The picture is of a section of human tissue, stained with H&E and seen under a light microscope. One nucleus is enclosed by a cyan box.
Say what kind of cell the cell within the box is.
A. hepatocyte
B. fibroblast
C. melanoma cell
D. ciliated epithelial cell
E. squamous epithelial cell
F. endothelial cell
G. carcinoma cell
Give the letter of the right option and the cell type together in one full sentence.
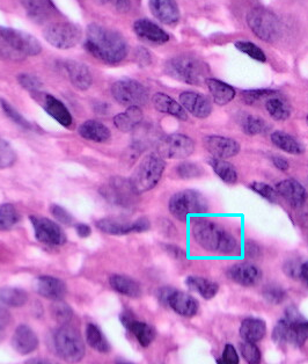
The choice that fits is option G, as the cell within the box is a carcinoma cell.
